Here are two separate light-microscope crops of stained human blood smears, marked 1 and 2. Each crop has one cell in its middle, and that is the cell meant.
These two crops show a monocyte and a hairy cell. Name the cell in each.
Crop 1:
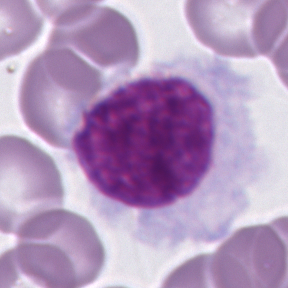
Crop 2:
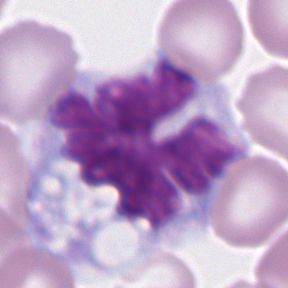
1: hairy cell
2: monocyte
